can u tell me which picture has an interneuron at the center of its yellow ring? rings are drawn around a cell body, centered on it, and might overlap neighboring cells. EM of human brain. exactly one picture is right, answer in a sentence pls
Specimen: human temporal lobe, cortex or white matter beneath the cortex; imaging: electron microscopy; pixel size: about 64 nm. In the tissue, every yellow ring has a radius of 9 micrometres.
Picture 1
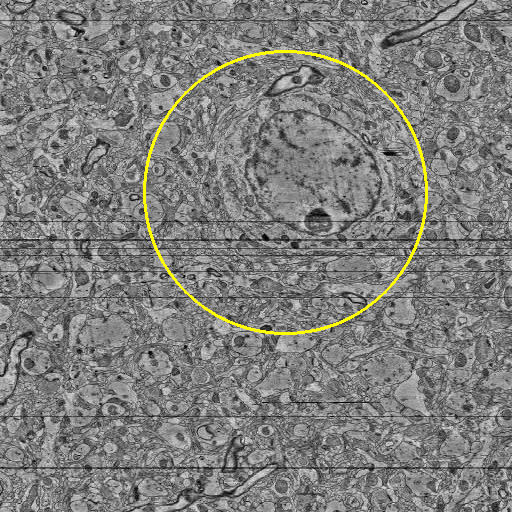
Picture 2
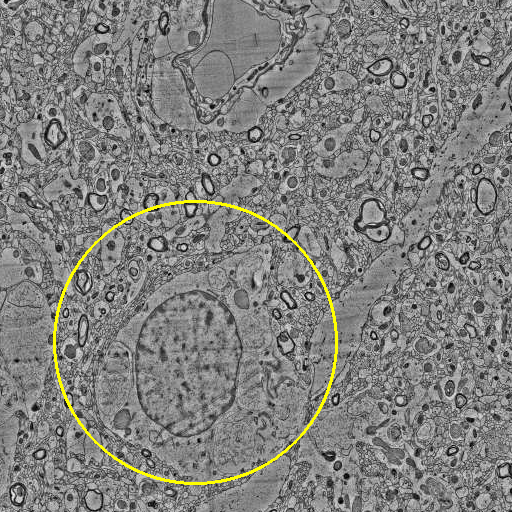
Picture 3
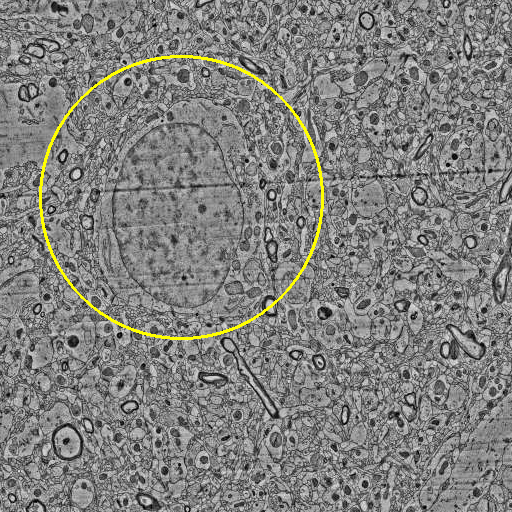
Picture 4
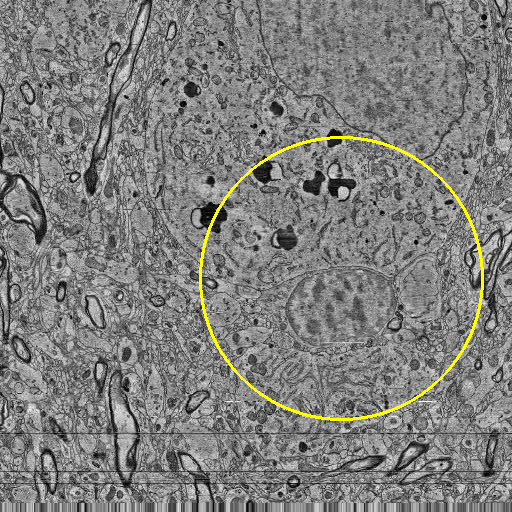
Picture 3 is the one.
